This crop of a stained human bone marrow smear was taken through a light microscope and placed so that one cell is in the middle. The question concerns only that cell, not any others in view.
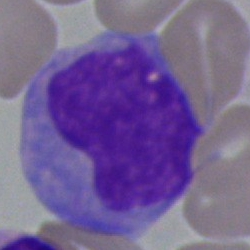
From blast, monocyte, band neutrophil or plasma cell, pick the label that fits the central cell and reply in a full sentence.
Classification of the middle cell gives a monocyte.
